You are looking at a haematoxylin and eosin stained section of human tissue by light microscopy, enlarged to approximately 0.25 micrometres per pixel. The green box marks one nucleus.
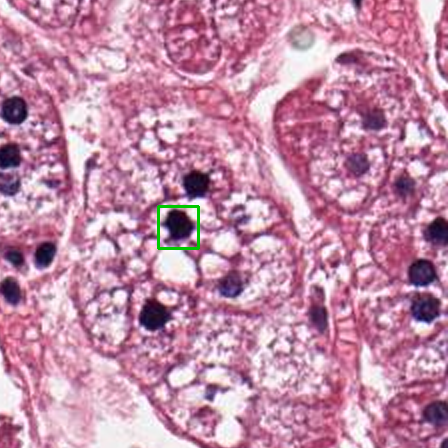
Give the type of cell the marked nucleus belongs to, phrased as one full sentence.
The marked nucleus is contained in an adrenal cortical cell.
